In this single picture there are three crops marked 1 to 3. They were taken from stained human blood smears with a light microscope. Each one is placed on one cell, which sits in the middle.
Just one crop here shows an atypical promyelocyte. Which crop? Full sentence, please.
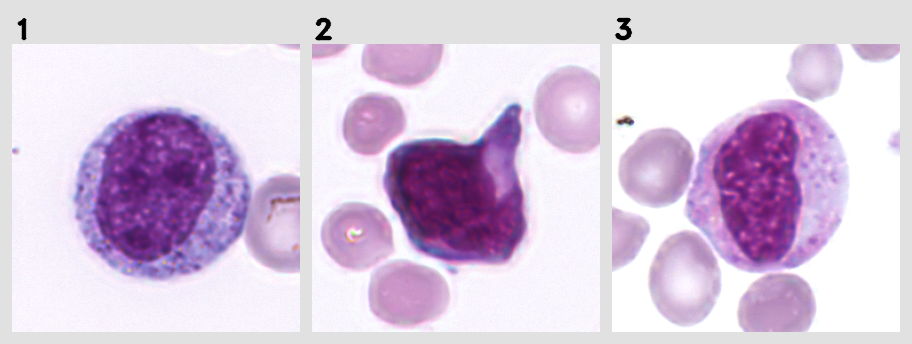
It is crop 2, not any other, that shows an atypical promyelocyte.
